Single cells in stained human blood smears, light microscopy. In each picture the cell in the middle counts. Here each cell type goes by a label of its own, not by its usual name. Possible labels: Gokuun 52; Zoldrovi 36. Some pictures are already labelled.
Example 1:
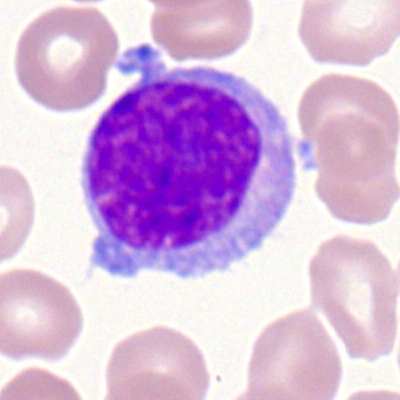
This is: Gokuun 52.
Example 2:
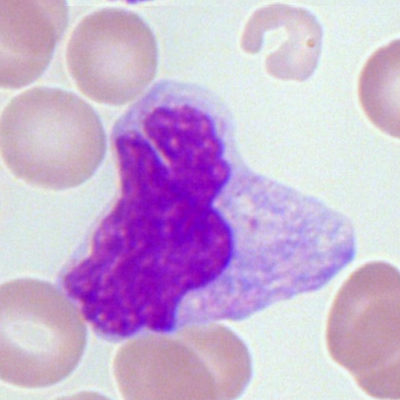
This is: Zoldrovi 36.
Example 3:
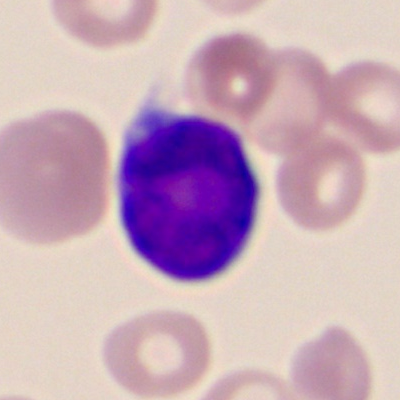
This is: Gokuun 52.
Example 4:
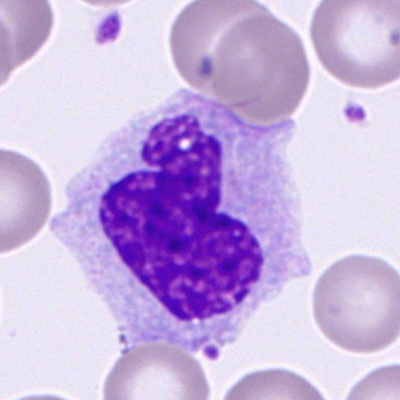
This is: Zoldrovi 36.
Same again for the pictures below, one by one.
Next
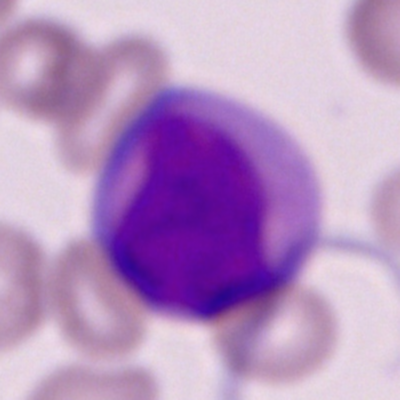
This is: Gokuun 52.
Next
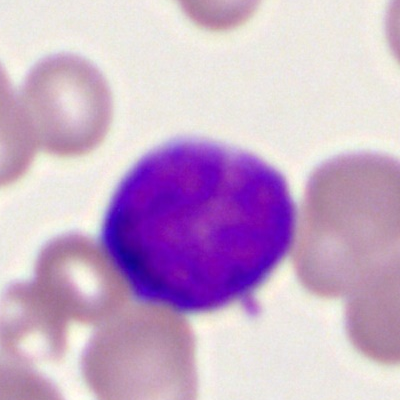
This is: Gokuun 52.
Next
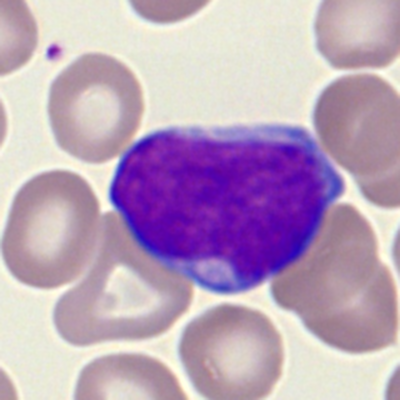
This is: Gokuun 52.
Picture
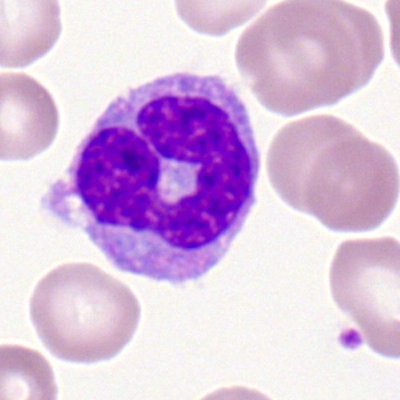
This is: Zoldrovi 36.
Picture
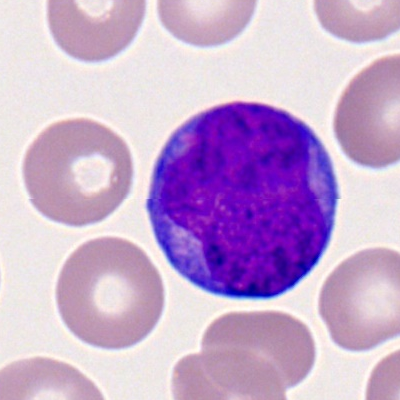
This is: Gokuun 52.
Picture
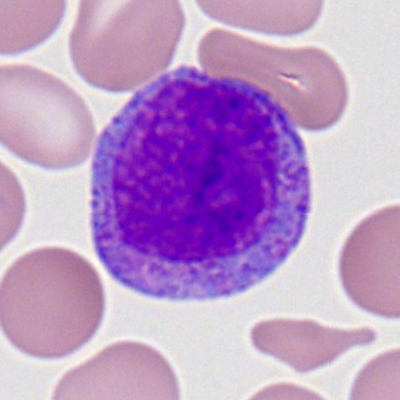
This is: Gokuun 52.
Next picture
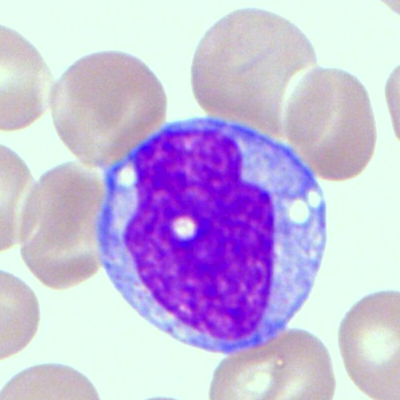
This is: Zoldrovi 36.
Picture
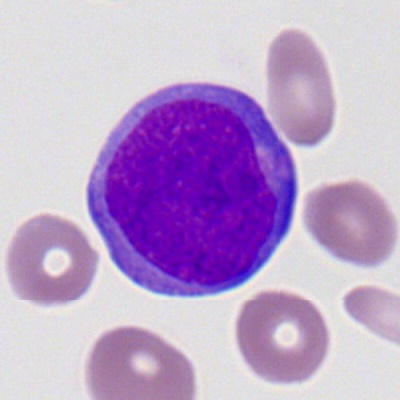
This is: Gokuun 52.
